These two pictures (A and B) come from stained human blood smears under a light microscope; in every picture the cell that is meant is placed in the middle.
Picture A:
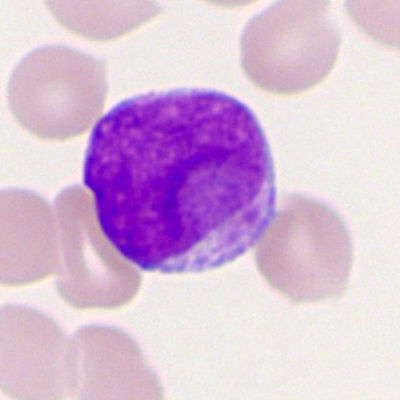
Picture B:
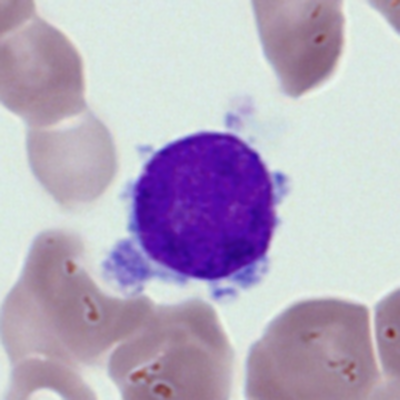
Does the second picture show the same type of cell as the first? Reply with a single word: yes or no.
no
